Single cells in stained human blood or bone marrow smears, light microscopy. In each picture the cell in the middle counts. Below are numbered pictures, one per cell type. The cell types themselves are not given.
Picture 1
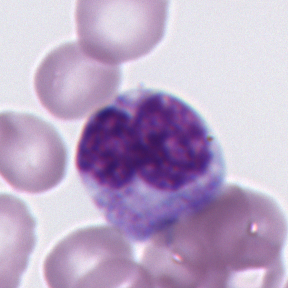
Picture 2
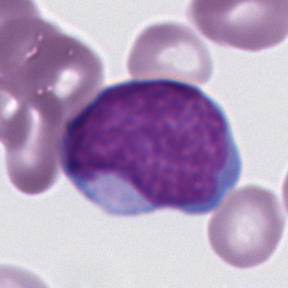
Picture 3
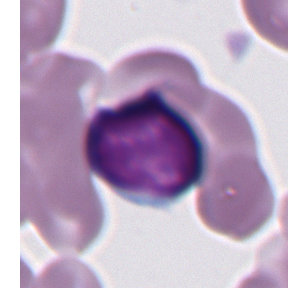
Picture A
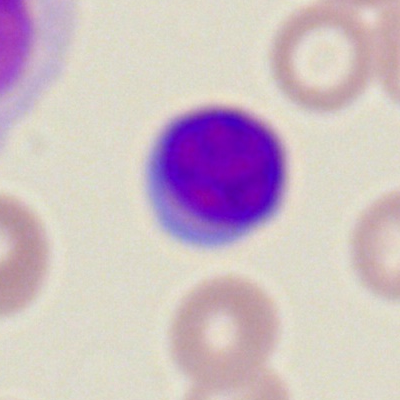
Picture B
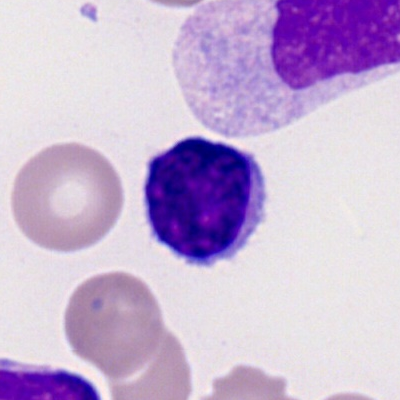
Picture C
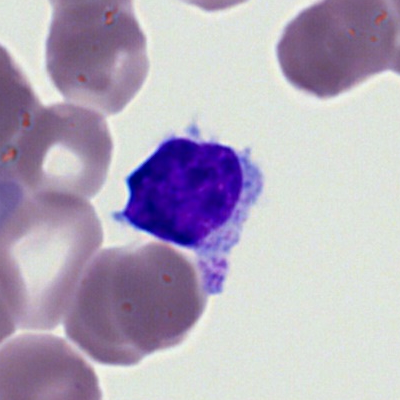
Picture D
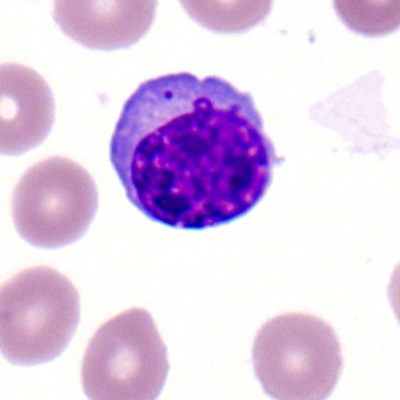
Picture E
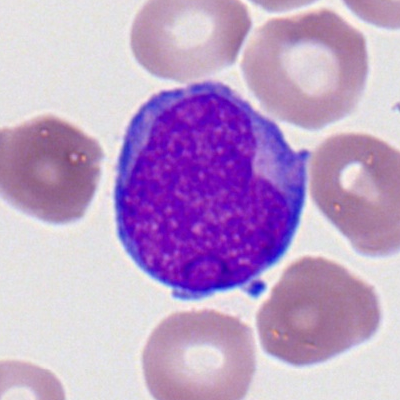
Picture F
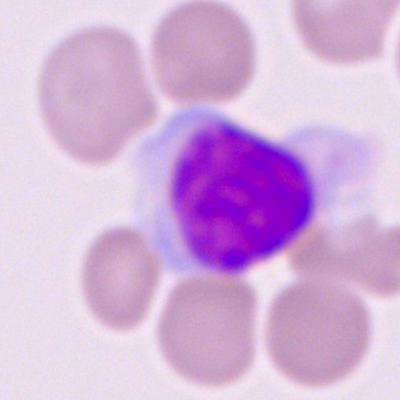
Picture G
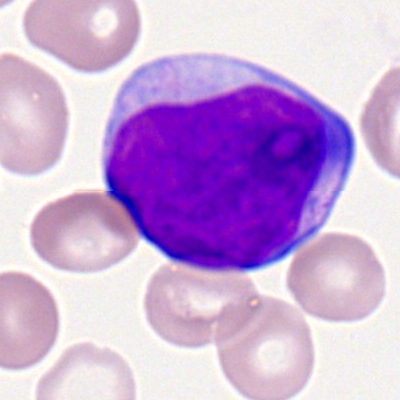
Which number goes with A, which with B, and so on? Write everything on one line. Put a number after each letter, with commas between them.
A 3, B 3, C 3, D 3, E 2, F 3, G 2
